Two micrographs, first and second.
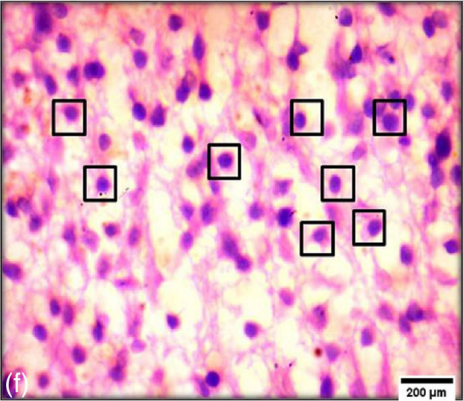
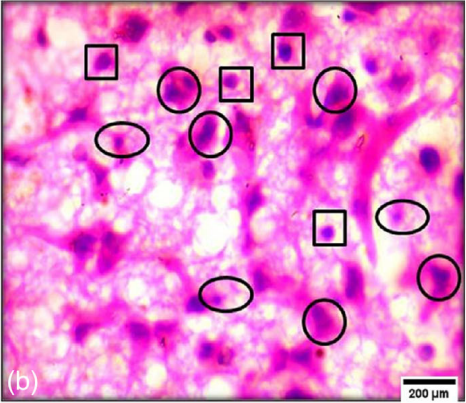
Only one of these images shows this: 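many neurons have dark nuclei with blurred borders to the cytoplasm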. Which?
The second image.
